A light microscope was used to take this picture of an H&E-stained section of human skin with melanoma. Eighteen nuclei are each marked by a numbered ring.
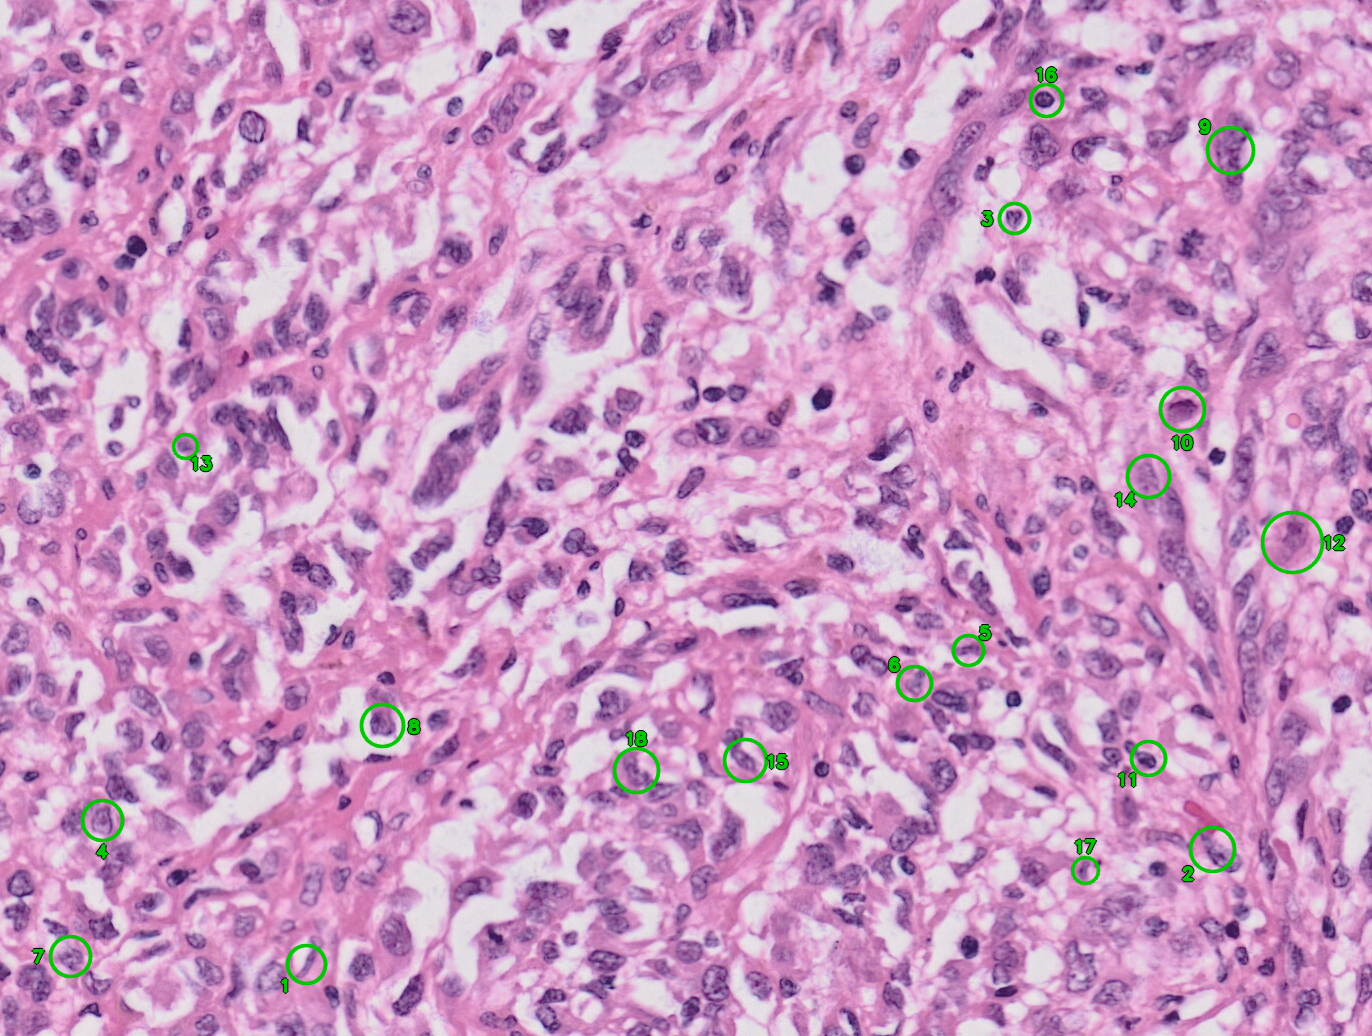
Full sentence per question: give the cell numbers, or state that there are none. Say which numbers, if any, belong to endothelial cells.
Identification: the cells with numbers 1 and 2 are endothelial cells.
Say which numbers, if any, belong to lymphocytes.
Identification: the cells with numbers 3, 11 and 16 are lymphocytes.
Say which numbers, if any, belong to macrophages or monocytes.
The identity of cells 6 and 17: they are macrophages or monocytes.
